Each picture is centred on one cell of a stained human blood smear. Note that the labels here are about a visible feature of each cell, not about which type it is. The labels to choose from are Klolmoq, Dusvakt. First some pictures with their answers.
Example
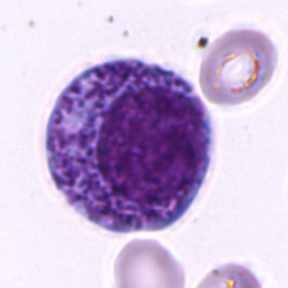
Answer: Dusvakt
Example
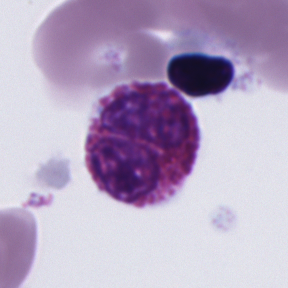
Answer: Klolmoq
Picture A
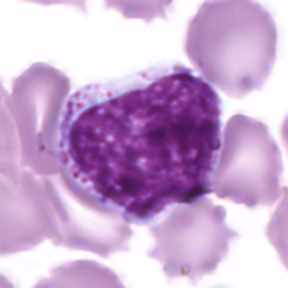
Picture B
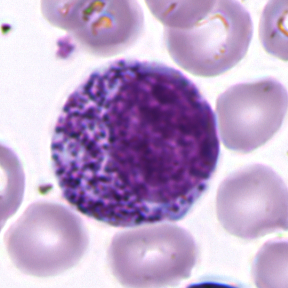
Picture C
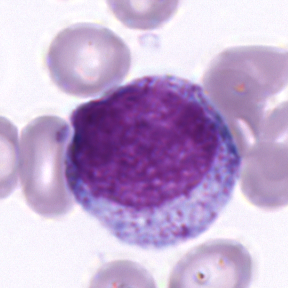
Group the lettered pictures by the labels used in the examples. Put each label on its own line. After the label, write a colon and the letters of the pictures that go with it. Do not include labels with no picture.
Klolmoq: A, C
Dusvakt: B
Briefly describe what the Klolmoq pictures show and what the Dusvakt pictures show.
In Klolmoq: fine or small granules. In Dusvakt: coarse or large granules.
